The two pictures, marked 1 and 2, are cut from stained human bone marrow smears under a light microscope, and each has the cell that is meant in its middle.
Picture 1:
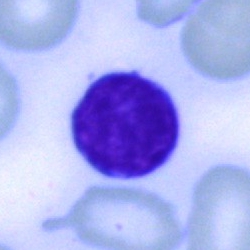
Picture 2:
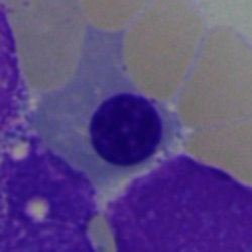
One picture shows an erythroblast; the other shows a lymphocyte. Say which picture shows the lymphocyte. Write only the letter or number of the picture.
1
